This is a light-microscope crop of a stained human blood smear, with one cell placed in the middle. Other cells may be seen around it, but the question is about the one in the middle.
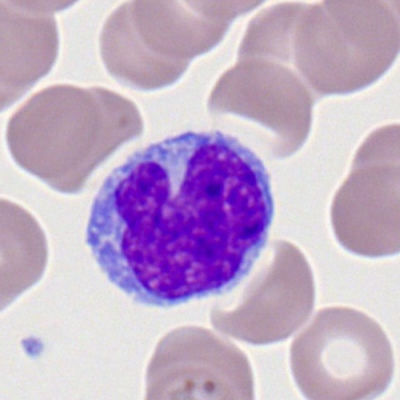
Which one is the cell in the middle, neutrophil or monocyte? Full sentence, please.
At the crop's centre, the cell is a monocyte.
